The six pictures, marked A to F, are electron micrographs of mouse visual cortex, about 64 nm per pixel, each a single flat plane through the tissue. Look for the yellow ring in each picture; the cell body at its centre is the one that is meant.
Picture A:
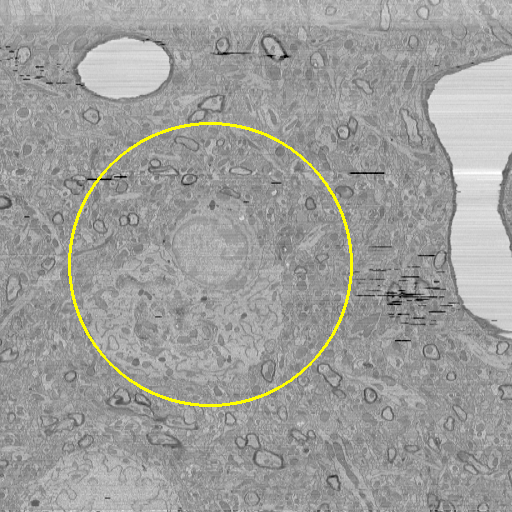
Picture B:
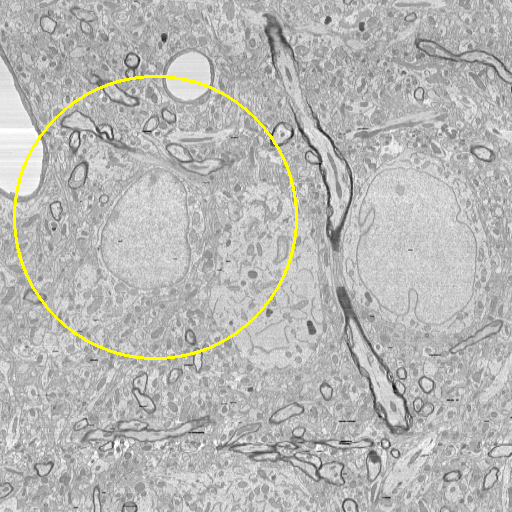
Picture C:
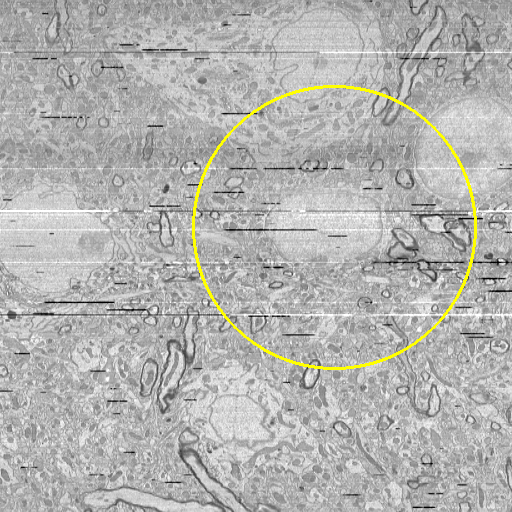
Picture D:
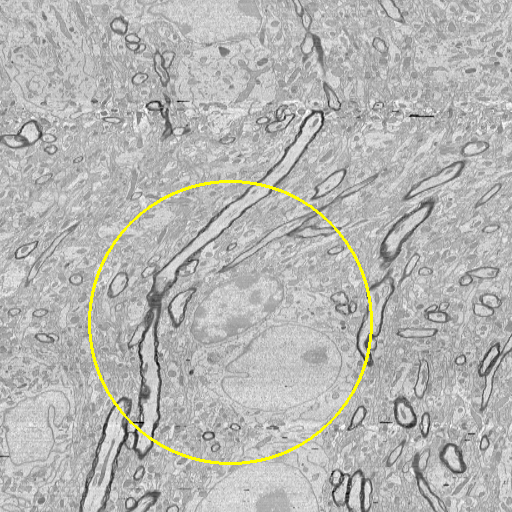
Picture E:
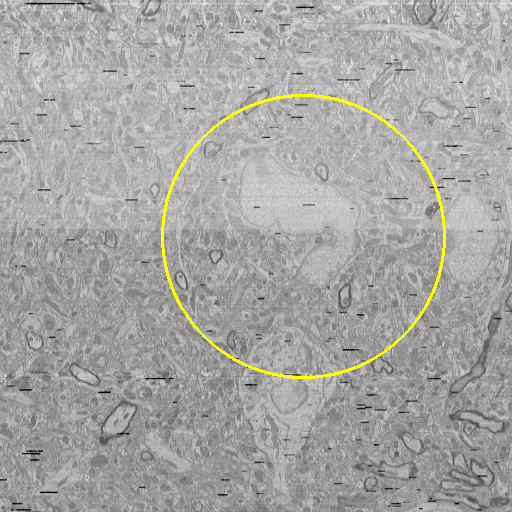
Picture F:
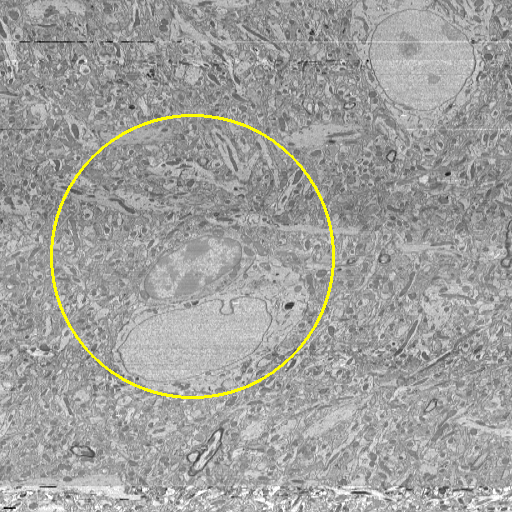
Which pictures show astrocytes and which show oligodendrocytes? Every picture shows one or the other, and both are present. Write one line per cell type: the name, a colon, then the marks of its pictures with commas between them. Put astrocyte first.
astrocyte: B, C, E
oligodendrocyte: A, D, F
